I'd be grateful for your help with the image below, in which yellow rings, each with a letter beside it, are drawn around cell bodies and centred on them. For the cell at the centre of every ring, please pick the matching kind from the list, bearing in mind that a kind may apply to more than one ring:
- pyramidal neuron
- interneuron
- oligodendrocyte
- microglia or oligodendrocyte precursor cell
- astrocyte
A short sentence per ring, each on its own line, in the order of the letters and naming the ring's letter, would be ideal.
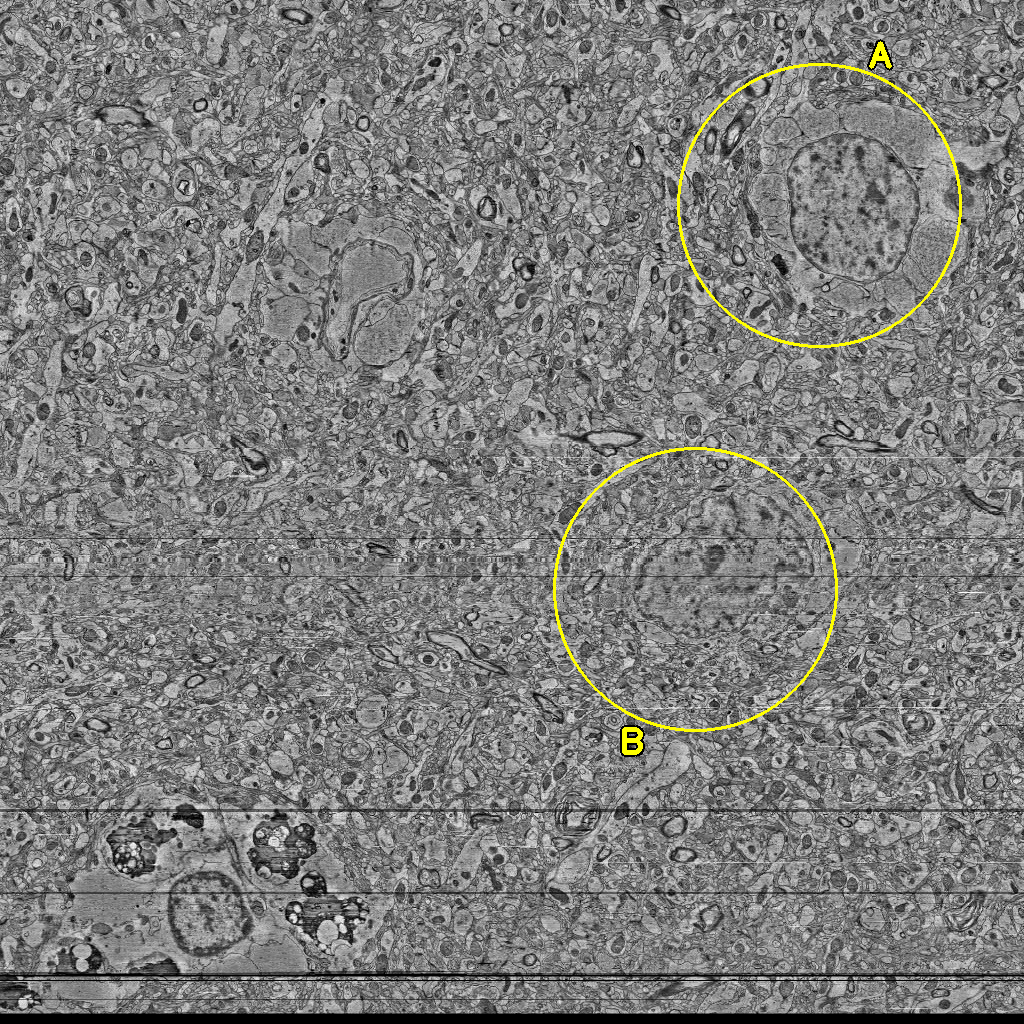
Inside ring A, the central cell is an astrocyte.
Inside ring B, the central cell is an interneuron.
